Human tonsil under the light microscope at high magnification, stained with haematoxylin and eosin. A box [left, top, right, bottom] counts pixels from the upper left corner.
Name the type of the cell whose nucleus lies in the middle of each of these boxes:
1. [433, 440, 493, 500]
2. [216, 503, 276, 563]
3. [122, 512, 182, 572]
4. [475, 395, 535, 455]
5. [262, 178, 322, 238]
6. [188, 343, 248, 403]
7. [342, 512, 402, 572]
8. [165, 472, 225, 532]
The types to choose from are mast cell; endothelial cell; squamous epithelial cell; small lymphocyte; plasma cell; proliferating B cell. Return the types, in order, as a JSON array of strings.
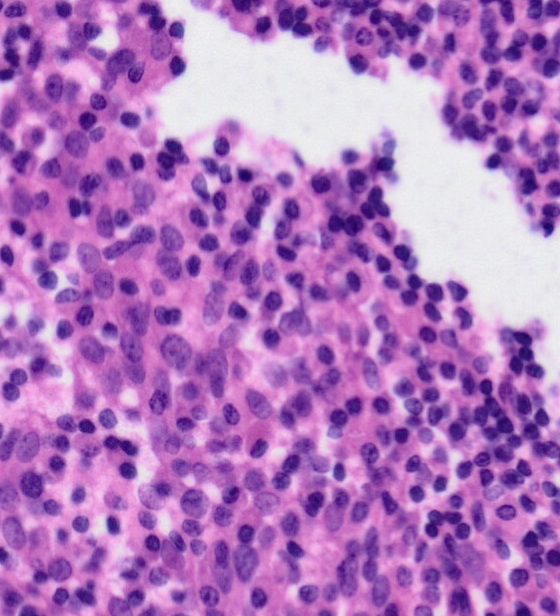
["small lymphocyte", "plasma cell", "plasma cell", "small lymphocyte", "plasma cell", "squamous epithelial cell", "squamous epithelial cell", "squamous epithelial cell"]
